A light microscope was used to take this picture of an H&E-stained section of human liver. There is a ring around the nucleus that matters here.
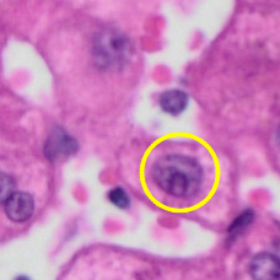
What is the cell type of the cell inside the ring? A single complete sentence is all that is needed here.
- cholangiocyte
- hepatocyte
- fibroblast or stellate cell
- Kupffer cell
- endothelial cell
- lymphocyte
Students should answer that the cell inside the ring is a hepatocyte.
